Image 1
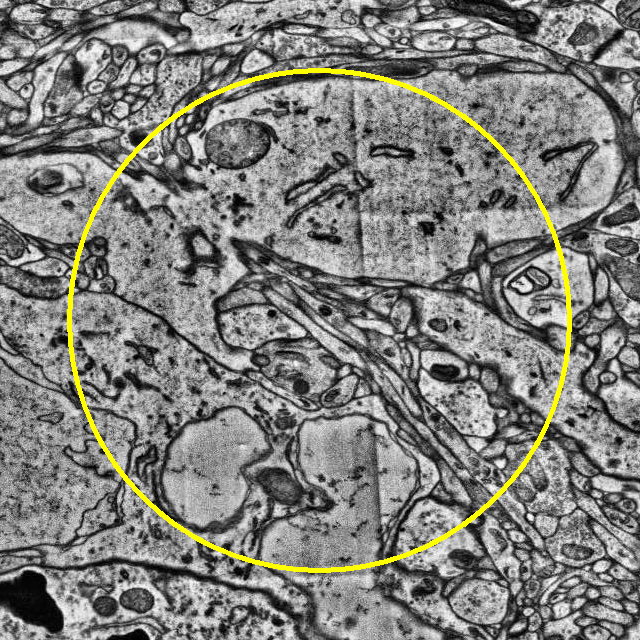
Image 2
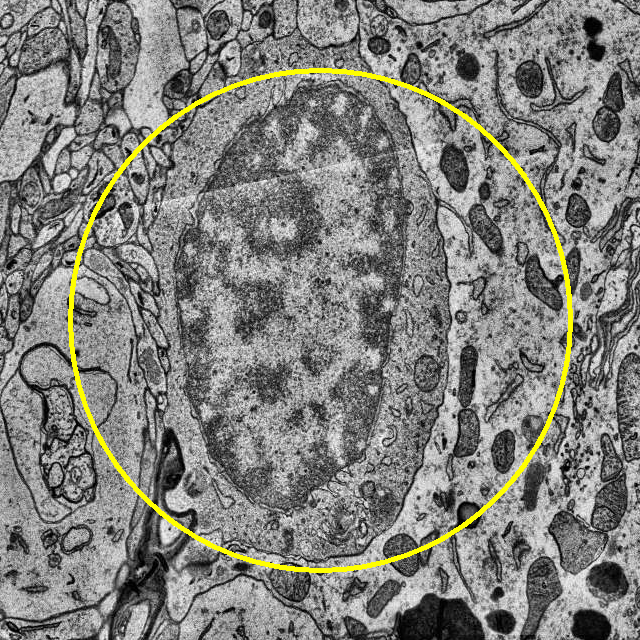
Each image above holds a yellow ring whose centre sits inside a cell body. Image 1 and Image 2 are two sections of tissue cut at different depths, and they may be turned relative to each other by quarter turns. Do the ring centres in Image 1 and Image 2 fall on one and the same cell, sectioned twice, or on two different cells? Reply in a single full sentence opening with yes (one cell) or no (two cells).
Yes, both yellow rings mark one and the same cell.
